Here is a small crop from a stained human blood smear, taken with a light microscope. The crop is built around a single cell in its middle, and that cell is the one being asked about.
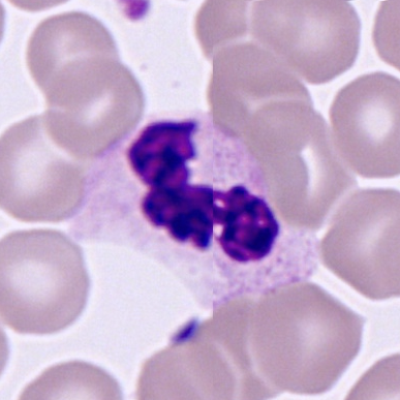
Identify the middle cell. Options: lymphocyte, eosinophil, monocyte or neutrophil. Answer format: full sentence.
Looking at the middle of the crop, the cell there is a neutrophil.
